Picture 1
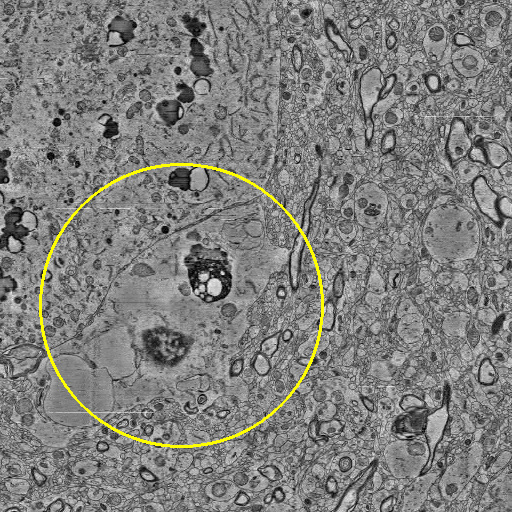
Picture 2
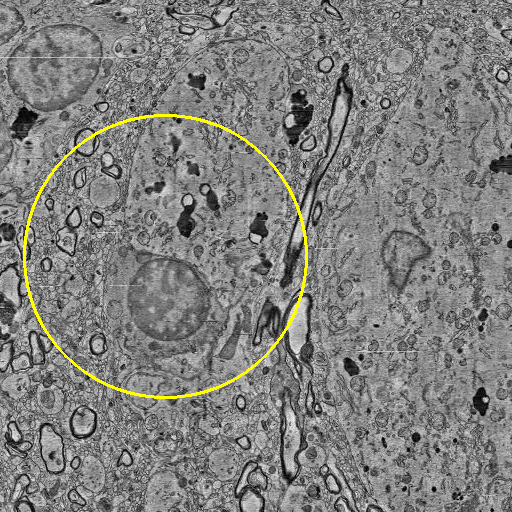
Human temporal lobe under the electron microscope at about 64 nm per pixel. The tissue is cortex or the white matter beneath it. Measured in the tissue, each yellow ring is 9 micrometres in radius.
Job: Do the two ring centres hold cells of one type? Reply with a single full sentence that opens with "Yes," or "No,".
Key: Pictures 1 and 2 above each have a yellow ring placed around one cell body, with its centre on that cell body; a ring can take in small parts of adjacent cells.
No, the cells at the two ring centres are of two separate types.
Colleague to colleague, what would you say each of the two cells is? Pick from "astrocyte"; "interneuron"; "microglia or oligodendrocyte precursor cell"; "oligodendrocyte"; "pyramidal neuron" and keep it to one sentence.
The cell in the first picture is an astrocyte; the second picture's cell is an oligodendrocyte.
